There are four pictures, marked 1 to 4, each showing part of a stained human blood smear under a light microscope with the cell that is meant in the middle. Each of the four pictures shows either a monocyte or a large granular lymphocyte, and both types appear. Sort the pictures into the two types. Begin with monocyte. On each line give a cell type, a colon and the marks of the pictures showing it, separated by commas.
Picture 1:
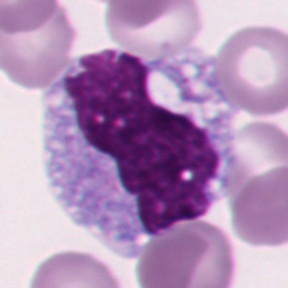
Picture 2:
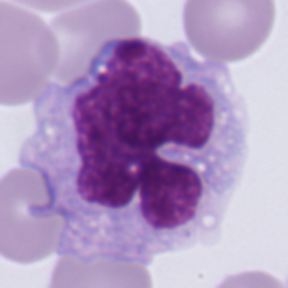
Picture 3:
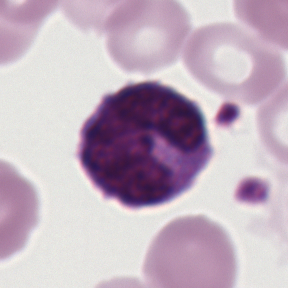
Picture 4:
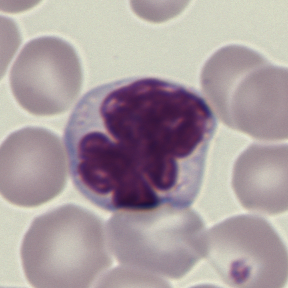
monocyte: 1, 2, 3
large granular lymphocyte: 4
